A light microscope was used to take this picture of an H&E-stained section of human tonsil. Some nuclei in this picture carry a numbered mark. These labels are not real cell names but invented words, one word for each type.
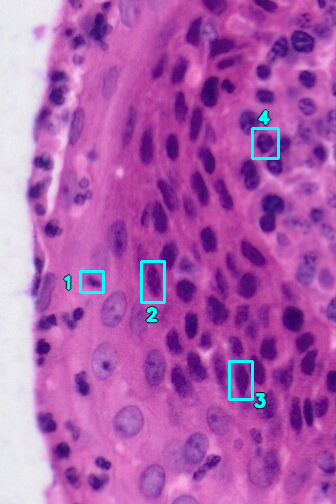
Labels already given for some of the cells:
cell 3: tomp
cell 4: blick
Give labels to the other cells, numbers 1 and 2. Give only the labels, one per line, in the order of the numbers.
tomp
tomp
